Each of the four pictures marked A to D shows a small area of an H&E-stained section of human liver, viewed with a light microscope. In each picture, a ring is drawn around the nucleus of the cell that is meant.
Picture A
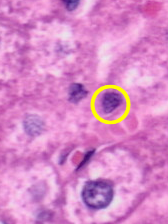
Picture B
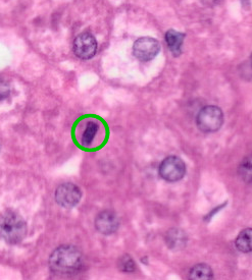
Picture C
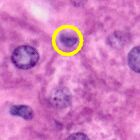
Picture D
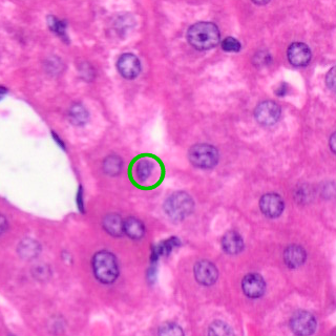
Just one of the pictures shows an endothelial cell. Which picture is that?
C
